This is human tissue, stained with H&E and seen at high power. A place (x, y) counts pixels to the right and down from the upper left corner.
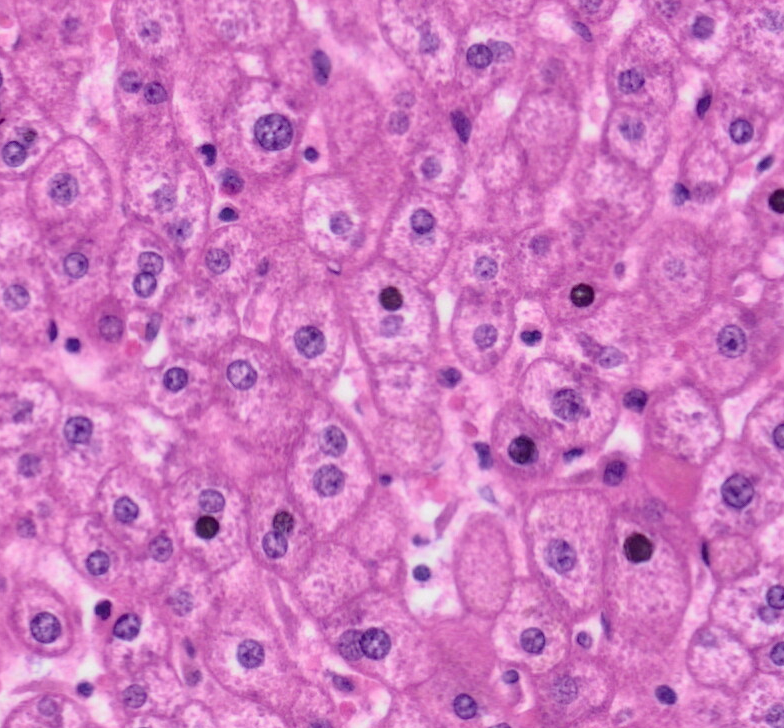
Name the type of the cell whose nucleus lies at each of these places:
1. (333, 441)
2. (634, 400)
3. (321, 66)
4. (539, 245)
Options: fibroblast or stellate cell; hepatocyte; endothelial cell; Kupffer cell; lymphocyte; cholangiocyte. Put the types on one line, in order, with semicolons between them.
hepatocyte; endothelial cell; fibroblast or stellate cell; hepatocyte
